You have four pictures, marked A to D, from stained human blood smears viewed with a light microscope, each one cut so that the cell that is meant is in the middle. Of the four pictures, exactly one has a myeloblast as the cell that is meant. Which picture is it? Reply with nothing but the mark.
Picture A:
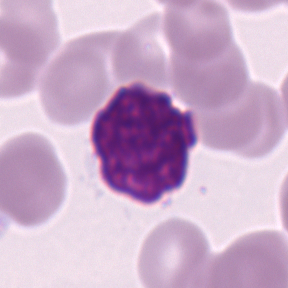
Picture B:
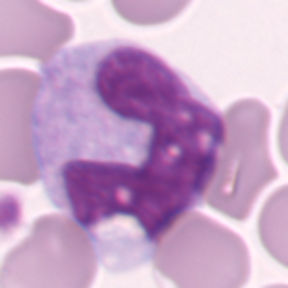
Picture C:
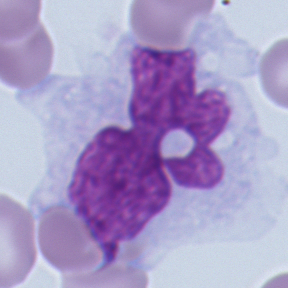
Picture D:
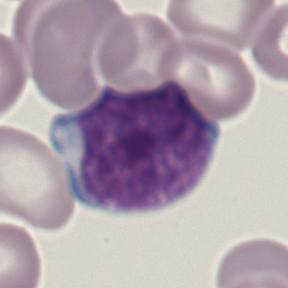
D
